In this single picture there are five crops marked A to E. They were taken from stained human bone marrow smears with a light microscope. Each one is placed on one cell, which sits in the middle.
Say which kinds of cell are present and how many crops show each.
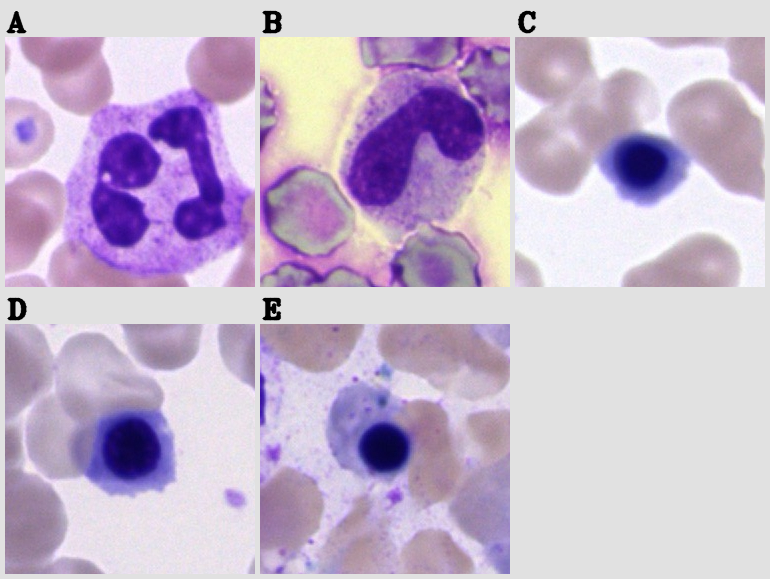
erythroblast: 3
segmented neutrophil: 1
band neutrophil: 1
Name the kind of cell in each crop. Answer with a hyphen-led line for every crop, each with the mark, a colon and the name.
- A: segmented neutrophil
- B: band neutrophil
- C: erythroblast
- D: erythroblast
- E: erythroblast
